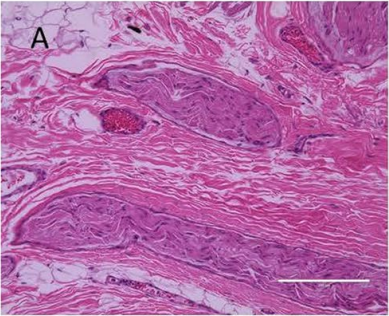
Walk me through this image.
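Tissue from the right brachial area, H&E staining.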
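Elongated bundles of wavy, purple-pink fibres with scattered slender nuclei run across the field, each wrapped in a thin sheath, beside a small blood vessel filled with red cells. These small nerve bundles are encased in thick, layered pink collagen with fat cells at the edge, a picture of fibrosis around nerves without an inflammatory cell infiltrate.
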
